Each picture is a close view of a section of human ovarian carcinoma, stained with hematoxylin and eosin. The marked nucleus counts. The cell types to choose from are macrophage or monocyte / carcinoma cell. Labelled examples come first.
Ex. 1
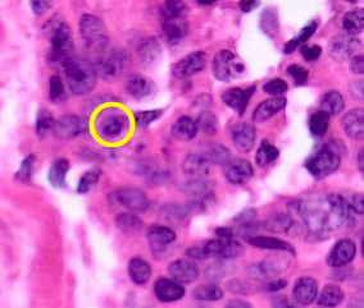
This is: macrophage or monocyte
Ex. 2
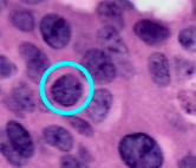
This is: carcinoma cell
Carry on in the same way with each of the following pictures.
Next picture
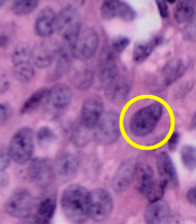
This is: carcinoma cell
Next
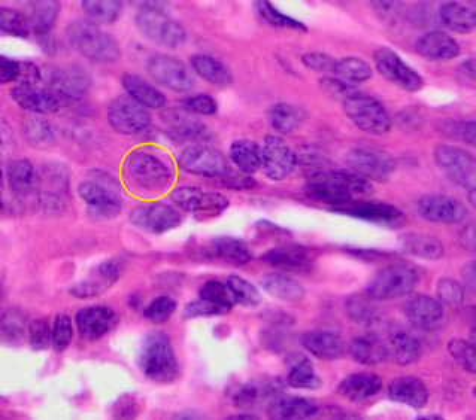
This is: carcinoma cell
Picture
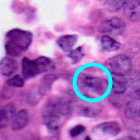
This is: carcinoma cell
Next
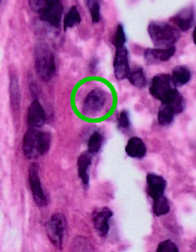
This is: macrophage or monocyte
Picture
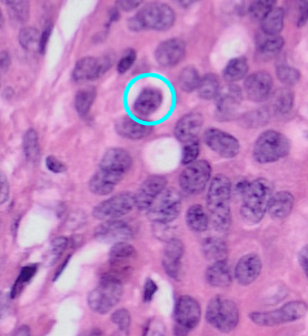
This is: carcinoma cell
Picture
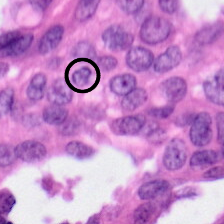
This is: macrophage or monocyte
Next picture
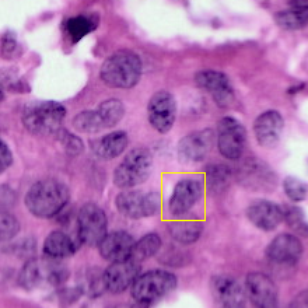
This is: macrophage or monocyte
